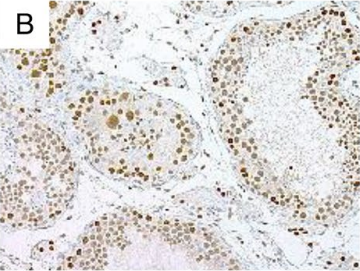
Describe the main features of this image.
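This is testis, with round cross-sections of seminiferous tubules lined by several layers of germ cells around a pale lumen. The nuclei of the germ cells stain brown while their cytoplasm stays pale, and loose, pale interstitial tissue lies between the tubules.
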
